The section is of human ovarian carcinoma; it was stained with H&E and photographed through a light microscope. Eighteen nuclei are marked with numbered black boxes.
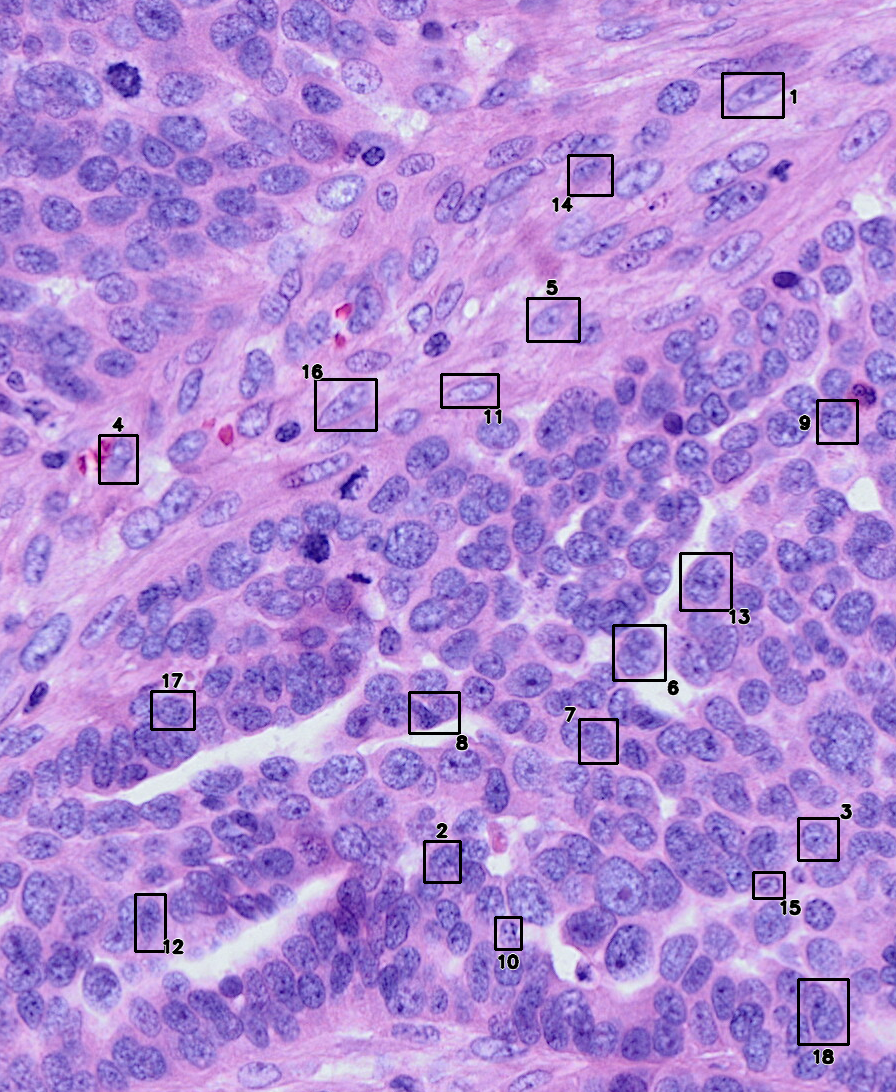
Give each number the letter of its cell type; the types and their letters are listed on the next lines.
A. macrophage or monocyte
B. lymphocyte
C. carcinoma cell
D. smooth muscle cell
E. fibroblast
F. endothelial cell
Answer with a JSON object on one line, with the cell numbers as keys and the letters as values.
{"1": "E", "2": "C", "3": "C", "4": "F", "5": "E", "6": "C", "7": "C", "8": "C", "9": "C", "10": "A", "11": "E", "12": "C", "13": "C", "14": "E", "15": "A", "16": "E", "17": "C", "18": "C"}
